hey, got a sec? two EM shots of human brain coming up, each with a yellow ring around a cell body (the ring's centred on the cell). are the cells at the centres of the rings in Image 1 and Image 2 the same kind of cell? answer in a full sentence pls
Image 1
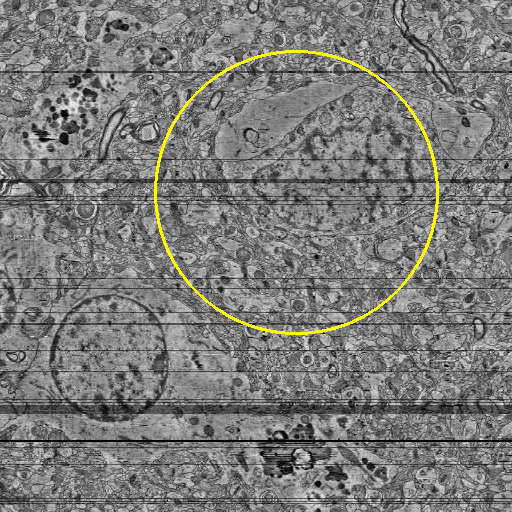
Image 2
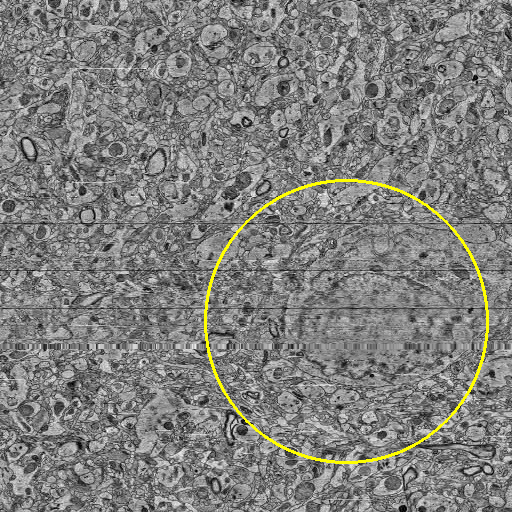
Yes, both are the same kind of cell.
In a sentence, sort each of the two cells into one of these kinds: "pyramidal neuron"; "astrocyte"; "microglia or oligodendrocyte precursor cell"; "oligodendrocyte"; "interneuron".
The cell at the ring centre is an interneuron in both pictures.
